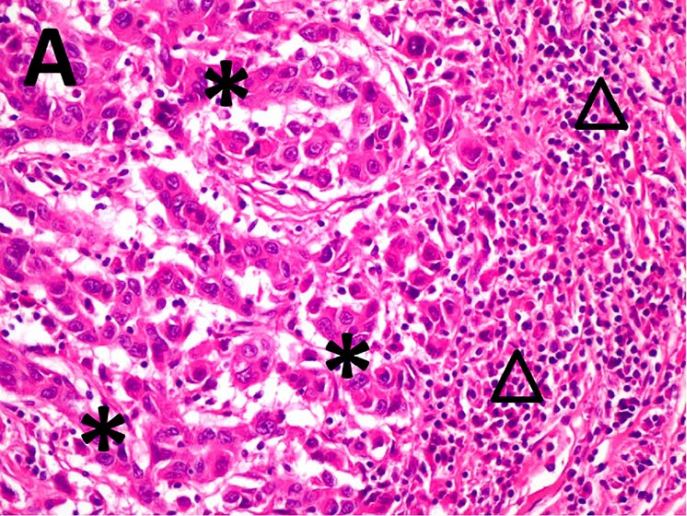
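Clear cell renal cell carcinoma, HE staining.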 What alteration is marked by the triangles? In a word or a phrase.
Peritumoral lymphocytic infiltrate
